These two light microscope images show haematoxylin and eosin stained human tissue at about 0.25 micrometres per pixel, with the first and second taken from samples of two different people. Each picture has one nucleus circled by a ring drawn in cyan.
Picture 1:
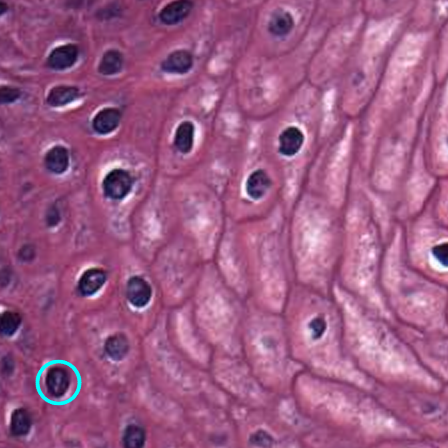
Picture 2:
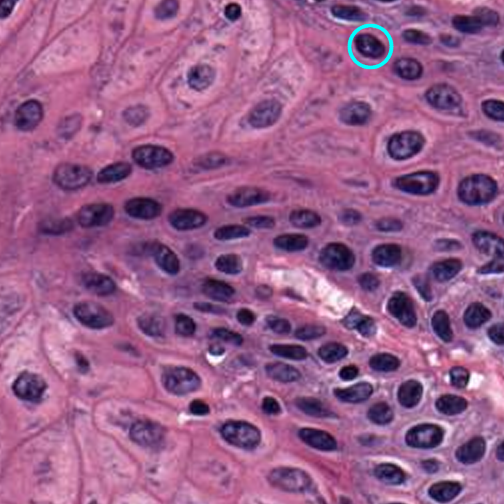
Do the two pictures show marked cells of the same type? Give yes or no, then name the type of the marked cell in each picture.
Yes, both are squamous epithelial cells.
